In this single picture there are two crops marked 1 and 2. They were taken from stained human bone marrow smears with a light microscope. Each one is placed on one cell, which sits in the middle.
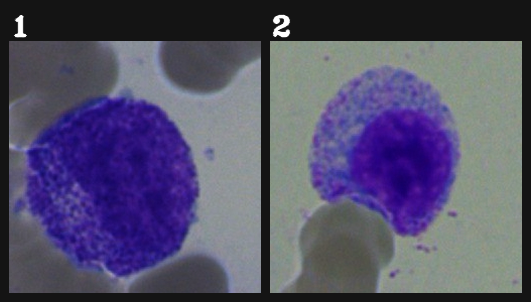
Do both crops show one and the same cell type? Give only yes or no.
yes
